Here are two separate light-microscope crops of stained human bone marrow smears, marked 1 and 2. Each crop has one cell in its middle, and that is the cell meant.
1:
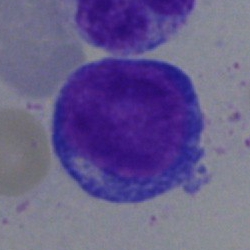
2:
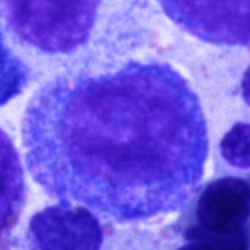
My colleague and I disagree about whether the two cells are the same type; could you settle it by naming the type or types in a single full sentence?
No, crop 1 displays a proerythroblast and crop 2 displays a promyelocyte.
